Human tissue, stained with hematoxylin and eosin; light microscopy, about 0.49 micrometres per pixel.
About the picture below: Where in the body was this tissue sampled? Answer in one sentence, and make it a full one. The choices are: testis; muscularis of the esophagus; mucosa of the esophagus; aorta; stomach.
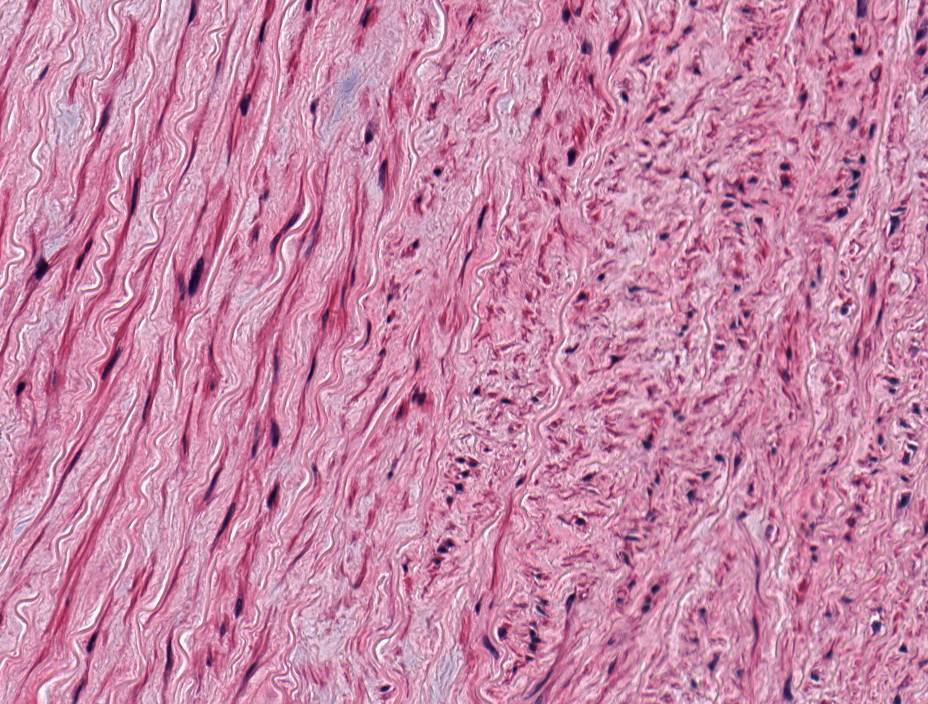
The tissue fragment was taken from the aorta.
